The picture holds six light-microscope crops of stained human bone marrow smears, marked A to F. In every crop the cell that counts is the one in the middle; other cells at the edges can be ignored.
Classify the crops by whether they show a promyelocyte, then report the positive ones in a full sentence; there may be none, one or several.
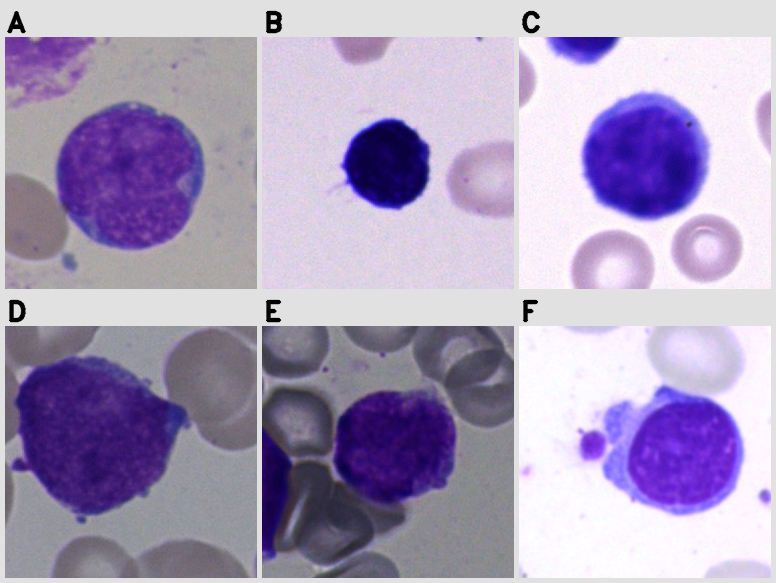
Every crop centres on a cell other than a promyelocyte.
